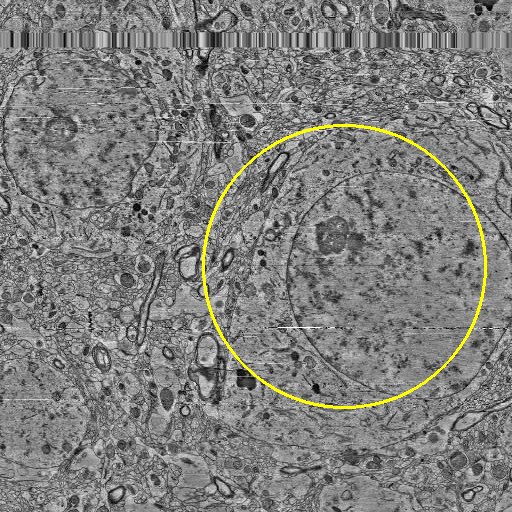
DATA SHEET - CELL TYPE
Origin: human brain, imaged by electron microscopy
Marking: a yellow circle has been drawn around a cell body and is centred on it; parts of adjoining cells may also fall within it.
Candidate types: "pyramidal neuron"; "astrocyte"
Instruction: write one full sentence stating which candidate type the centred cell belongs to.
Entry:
The cell body at the centre of the yellow ring in this micrograph belongs to a pyramidal neuron.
